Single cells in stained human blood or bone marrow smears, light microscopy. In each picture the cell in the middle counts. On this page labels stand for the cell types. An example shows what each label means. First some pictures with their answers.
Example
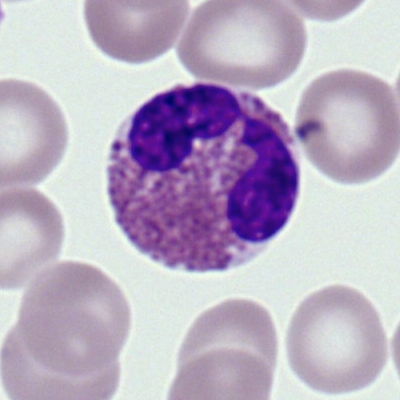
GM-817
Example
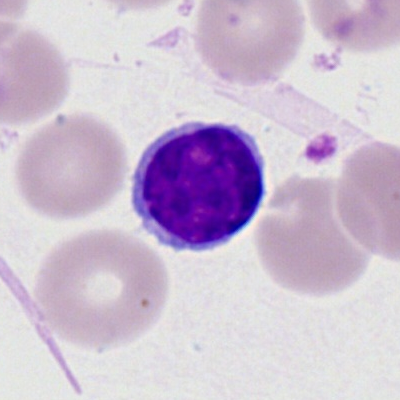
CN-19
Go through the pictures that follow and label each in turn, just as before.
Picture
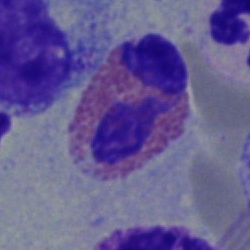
GM-817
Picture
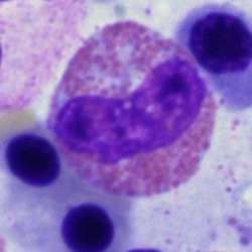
GM-817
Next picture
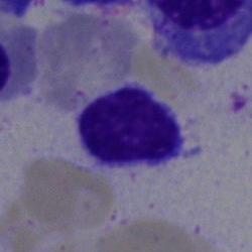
CN-19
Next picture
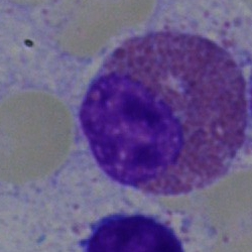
GM-817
